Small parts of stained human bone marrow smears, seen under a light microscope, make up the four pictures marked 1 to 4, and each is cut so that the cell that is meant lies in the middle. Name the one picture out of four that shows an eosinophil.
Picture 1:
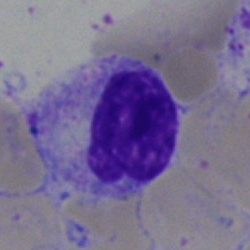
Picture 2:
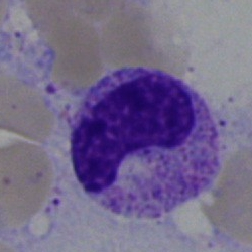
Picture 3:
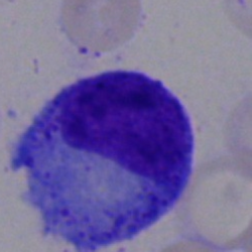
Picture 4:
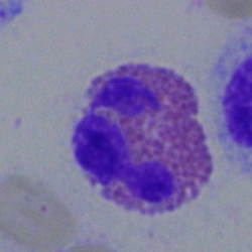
4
